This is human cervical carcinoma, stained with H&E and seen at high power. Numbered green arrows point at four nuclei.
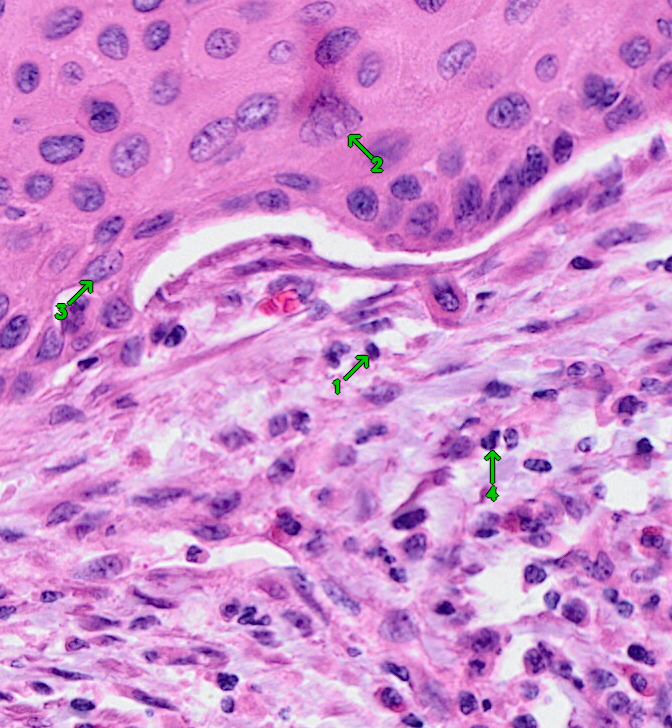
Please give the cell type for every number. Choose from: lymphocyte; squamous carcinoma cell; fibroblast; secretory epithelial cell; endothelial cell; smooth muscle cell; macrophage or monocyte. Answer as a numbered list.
1. lymphocyte
2. squamous carcinoma cell
3. squamous carcinoma cell
4. lymphocyte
